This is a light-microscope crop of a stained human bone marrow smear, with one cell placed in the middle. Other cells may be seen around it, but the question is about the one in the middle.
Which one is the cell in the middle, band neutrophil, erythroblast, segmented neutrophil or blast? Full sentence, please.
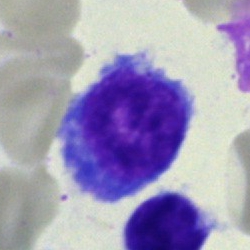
Regarding the central cell, it is a blast.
